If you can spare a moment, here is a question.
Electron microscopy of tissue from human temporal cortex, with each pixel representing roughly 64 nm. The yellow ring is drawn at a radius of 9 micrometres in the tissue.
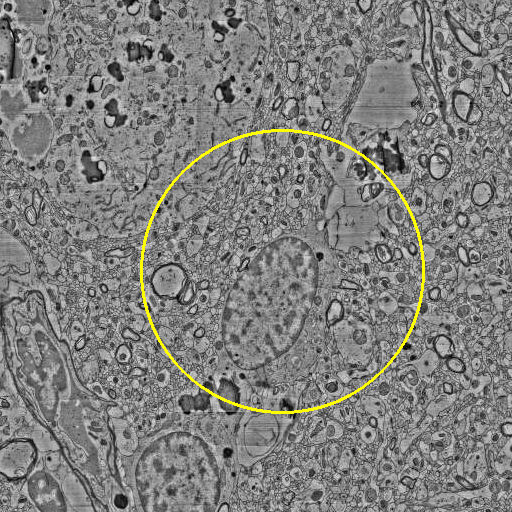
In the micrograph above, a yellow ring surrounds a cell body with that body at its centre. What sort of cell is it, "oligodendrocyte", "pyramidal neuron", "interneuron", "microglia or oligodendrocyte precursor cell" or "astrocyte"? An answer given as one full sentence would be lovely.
Centred inside the yellow ring, the cell body shown belongs to an oligodendrocyte in this micrograph.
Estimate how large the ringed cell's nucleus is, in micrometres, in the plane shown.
Approximately 9 micrometres long and 5 micrometres wide, so clearly longer than it is wide in this plane.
